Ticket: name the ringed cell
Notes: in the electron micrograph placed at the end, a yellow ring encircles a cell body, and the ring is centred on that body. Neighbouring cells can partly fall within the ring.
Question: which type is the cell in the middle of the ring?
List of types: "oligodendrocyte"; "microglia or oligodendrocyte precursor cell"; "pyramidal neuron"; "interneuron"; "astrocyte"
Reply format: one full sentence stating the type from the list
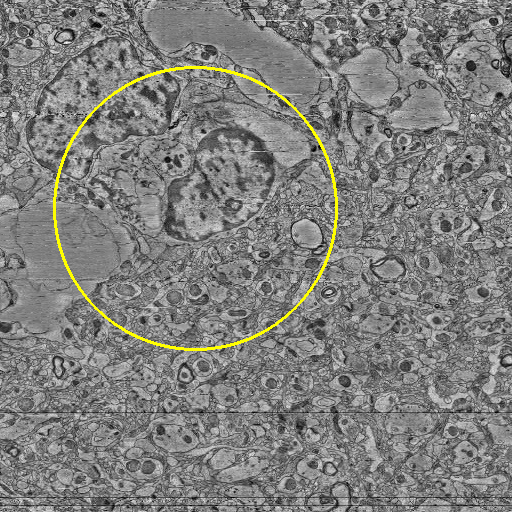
The cell sitting at the centre of the yellow ring is a microglial cell or oligodendrocyte precursor cell.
